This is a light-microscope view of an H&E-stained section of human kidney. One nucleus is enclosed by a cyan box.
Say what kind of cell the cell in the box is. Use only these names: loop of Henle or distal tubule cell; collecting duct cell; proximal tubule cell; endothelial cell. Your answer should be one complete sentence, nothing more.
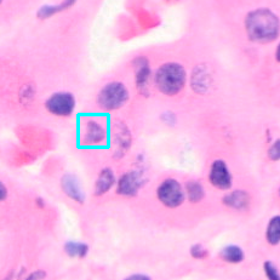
Assigned to a cell type, the cell in the box is a collecting duct cell.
